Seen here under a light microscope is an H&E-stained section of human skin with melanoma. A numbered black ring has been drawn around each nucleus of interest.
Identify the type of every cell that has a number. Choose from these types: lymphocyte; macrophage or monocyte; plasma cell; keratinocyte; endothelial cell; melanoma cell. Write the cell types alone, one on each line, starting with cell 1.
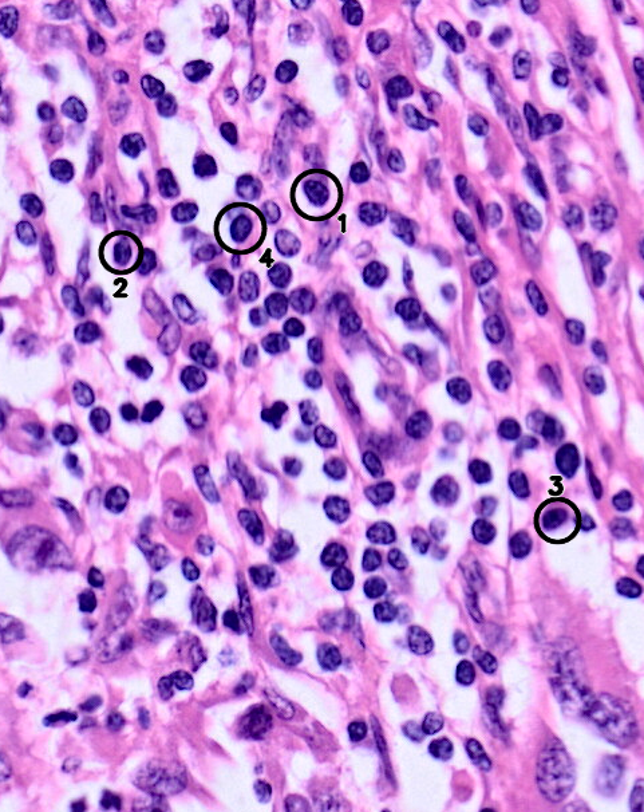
lymphocyte
lymphocyte
plasma cell
lymphocyte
